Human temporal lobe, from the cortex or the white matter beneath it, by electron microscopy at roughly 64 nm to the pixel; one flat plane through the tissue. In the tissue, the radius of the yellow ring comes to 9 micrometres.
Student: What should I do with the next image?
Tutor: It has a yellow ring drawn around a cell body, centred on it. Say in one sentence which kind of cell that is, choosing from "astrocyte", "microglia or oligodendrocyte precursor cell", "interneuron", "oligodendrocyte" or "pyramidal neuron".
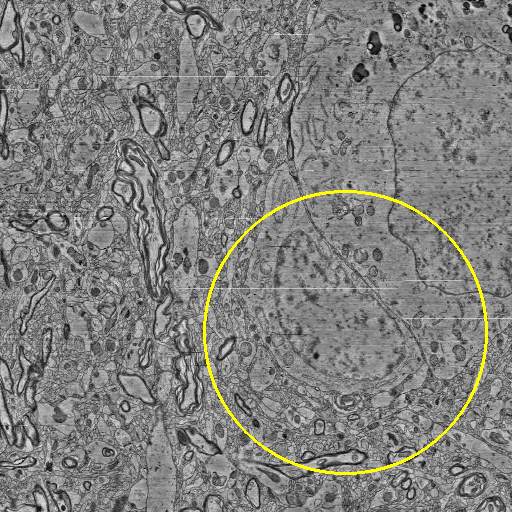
The ring's centre is occupied by an interneuron.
